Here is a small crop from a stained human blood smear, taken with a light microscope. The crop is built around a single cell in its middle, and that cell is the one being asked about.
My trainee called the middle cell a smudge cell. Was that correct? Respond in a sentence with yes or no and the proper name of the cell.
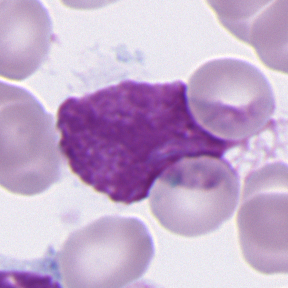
Yes, the crop's central cell is a smudge cell.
